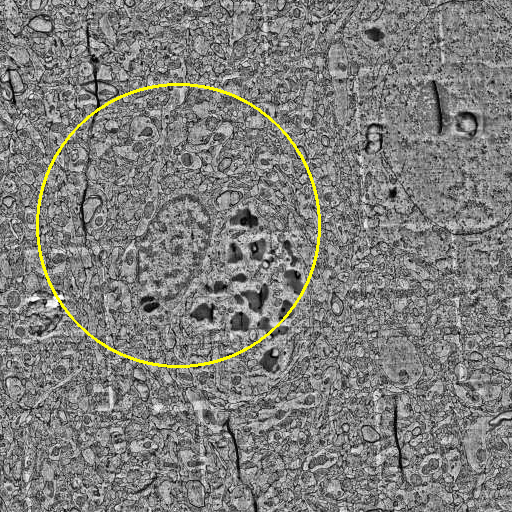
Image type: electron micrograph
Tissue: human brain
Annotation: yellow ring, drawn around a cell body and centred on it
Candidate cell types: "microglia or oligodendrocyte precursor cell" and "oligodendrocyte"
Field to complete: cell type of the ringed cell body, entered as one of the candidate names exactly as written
oligodendrocyte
